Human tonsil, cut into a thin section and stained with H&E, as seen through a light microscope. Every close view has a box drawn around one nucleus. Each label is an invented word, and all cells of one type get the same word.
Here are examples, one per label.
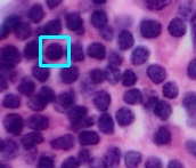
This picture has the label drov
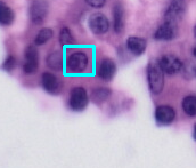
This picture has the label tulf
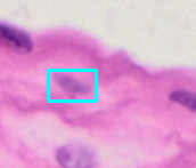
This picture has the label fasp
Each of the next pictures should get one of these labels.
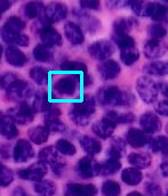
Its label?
drov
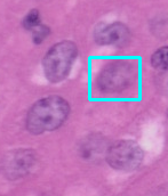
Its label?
fasp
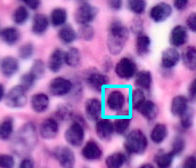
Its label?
drov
